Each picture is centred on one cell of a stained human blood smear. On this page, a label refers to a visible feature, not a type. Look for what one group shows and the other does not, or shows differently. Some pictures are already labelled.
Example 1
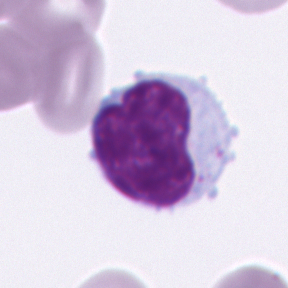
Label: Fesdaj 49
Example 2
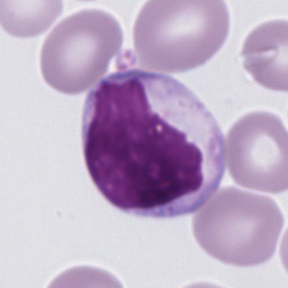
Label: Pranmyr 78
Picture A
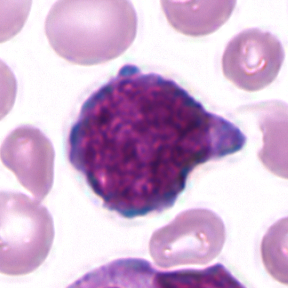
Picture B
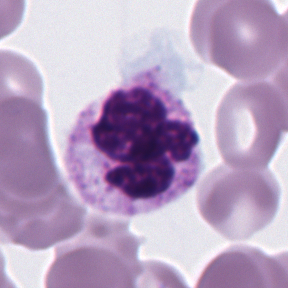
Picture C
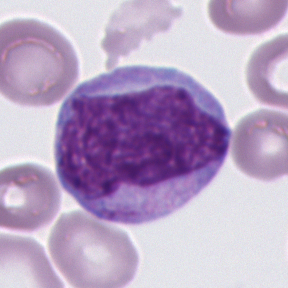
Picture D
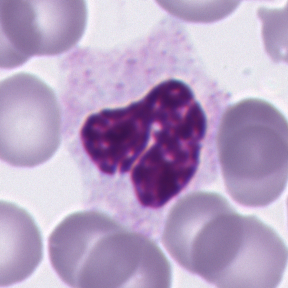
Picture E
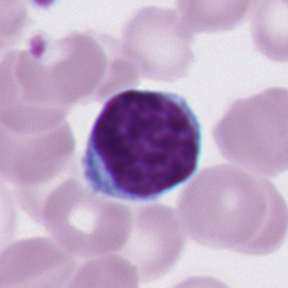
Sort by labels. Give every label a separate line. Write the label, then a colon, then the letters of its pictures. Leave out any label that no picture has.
Fesdaj 49: A, D
Pranmyr 78: B, C, E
